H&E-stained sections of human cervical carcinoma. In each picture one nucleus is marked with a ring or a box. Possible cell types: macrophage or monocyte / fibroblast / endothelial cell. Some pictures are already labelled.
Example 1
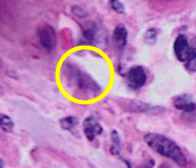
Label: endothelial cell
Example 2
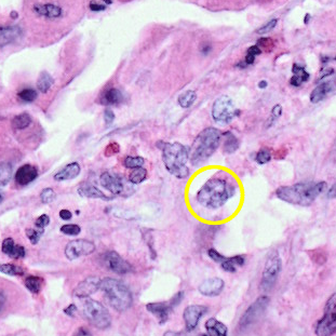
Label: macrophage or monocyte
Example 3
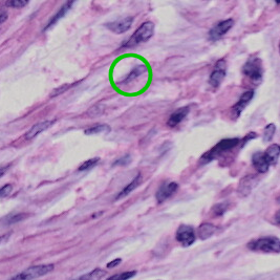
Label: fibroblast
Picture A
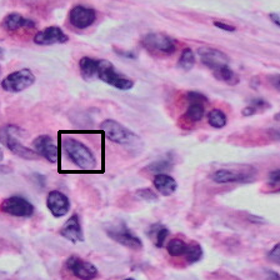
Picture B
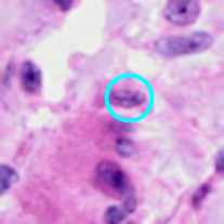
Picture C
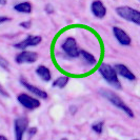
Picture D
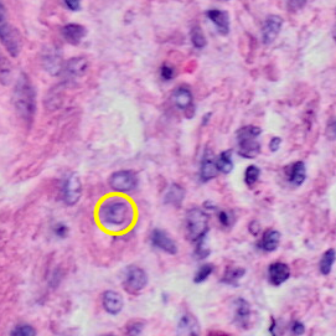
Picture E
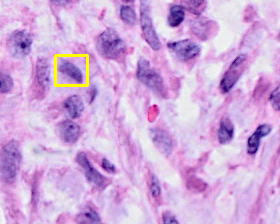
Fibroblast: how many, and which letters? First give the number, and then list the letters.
Count: 2 (C, E)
